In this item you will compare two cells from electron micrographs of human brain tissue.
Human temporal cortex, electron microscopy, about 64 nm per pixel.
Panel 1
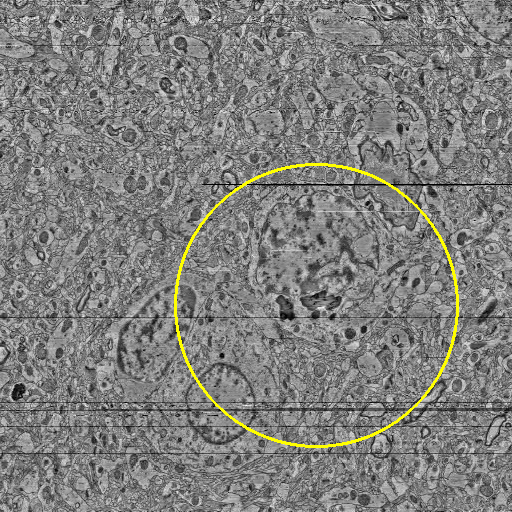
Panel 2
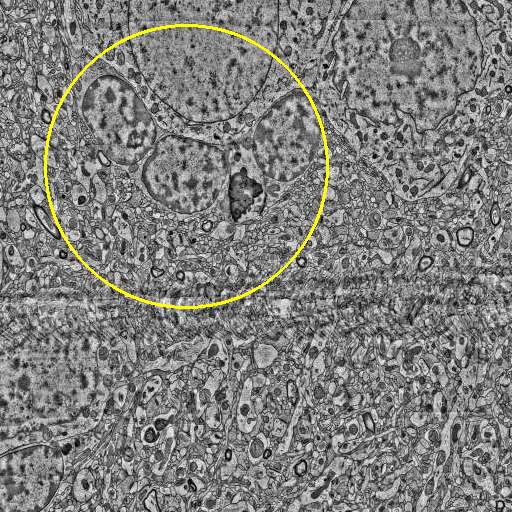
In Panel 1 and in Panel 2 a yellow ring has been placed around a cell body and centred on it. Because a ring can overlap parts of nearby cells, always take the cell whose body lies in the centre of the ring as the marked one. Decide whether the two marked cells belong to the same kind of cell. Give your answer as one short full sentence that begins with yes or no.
No, the two marked cells belong to two kinds of cell.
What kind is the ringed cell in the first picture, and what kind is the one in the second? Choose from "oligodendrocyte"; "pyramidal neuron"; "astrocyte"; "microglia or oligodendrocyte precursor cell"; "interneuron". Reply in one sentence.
The first cell is an interneuron; the second is an oligodendrocyte.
